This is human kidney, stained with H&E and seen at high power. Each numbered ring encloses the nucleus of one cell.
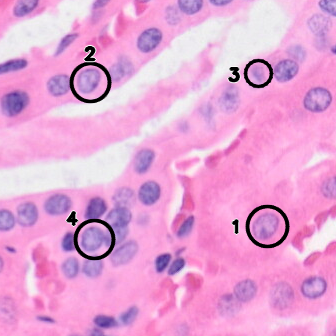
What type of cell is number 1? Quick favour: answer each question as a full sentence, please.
The cell whose nucleus carries the number 1 is a proximal tubule cell.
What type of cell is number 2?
The cell bearing label 2 corresponds to a collecting duct cell.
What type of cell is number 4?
Of the numbered cells, the one labelled 4 is a collecting duct cell.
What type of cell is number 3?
The nucleus labeled 3 belongs to a collecting duct cell.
